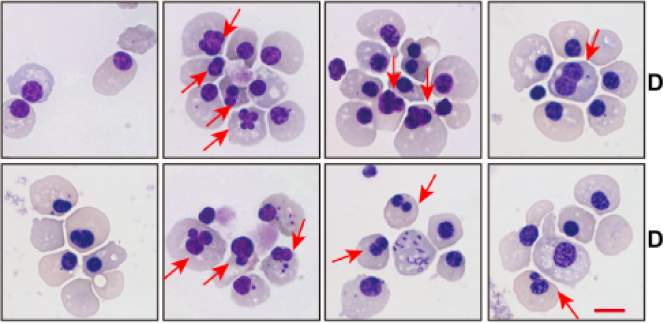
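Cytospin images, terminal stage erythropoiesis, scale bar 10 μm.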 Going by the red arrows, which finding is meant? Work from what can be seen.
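Abnormal nucleus. The arrowed cells have purple nuclei that are lobed or broken into several pieces. Neighbouring unmarked cells have a single round nucleus.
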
